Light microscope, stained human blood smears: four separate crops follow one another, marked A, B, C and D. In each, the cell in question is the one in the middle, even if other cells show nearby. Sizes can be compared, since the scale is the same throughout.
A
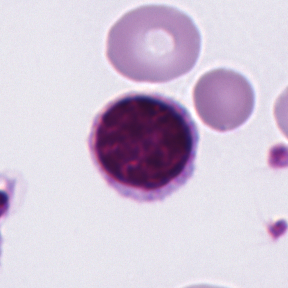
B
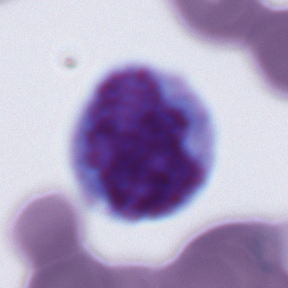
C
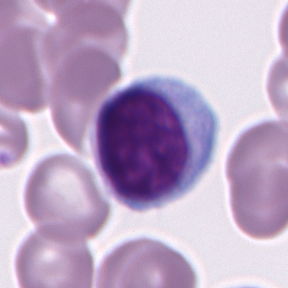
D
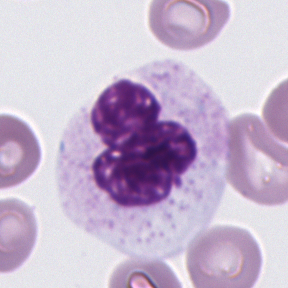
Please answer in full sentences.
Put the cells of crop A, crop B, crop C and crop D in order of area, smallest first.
Going up, they run A, C, B, D.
